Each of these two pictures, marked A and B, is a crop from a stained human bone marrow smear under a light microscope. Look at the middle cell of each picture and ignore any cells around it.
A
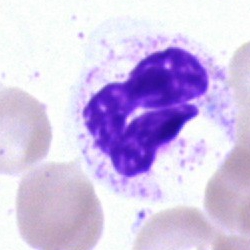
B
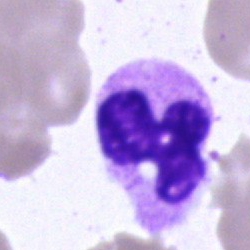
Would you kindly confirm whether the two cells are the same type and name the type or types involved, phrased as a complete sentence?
Yes, both crops show neutrophils, each crop centred on one of them.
